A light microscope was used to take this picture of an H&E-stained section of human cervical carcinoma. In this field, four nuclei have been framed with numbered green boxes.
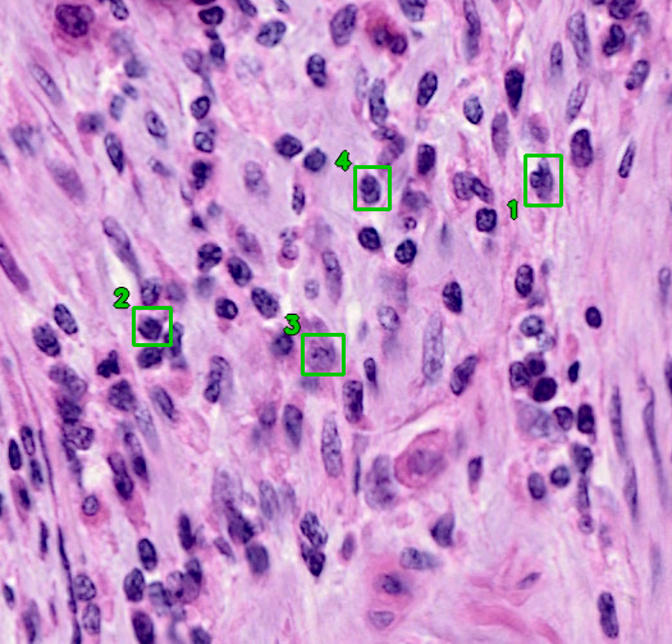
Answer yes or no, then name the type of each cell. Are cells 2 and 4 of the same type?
Yes, cells 2 and 4 both qualify as lymphocytes.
